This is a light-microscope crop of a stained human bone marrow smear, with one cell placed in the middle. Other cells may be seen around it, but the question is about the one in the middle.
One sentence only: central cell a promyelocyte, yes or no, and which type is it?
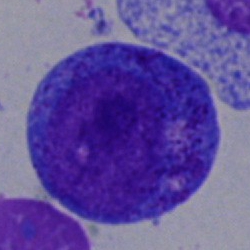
Yes, the middle cell in this crop is a promyelocyte.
